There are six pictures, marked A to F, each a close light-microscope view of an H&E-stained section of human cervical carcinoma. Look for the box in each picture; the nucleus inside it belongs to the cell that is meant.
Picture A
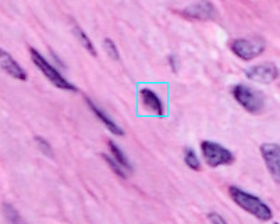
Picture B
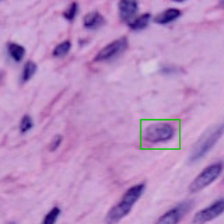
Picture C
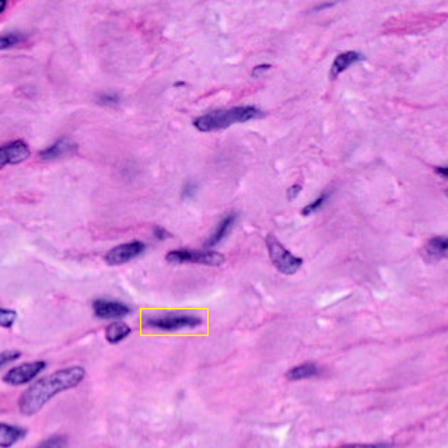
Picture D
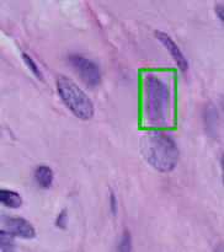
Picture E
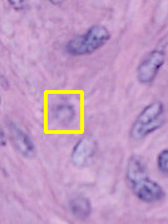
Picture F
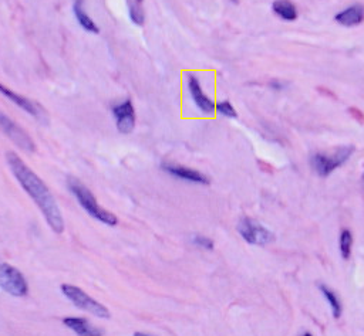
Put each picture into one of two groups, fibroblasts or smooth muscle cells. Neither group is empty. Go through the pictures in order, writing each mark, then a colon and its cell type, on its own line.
A: fibroblast
B: smooth muscle cell
C: fibroblast
D: fibroblast
E: smooth muscle cell
F: fibroblast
